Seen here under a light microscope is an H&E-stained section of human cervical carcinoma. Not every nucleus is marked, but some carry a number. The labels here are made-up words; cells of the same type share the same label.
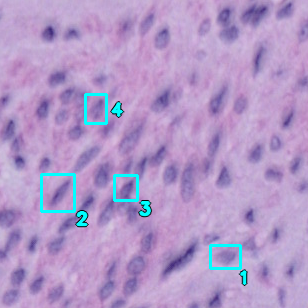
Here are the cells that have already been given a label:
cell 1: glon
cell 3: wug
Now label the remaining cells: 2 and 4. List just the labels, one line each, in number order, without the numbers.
wug
wug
